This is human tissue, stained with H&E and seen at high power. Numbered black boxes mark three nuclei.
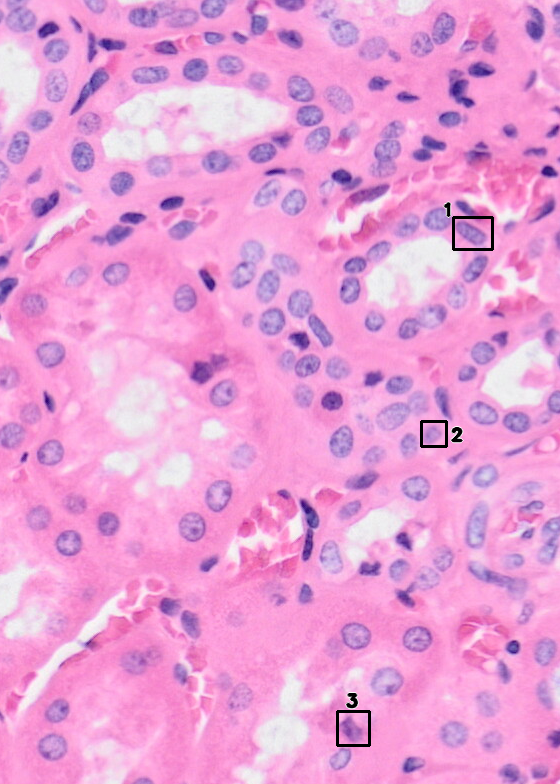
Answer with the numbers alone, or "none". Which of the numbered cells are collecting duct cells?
1, 2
